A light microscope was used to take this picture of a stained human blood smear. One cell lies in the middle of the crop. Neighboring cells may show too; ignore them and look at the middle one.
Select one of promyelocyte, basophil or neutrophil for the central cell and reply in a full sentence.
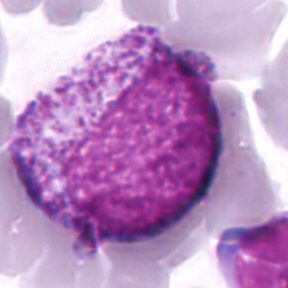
The cell positioned in the middle of the field is a promyelocyte.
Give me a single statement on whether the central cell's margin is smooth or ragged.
This cell has an uneven outline, either ragged or bearing projections.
